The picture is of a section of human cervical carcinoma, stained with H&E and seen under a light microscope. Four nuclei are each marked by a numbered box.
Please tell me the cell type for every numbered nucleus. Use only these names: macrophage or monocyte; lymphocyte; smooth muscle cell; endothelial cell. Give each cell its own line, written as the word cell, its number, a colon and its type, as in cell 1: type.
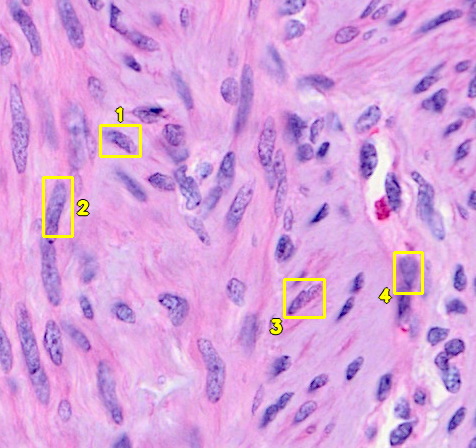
cell 1: smooth muscle cell
cell 2: smooth muscle cell
cell 3: smooth muscle cell
cell 4: endothelial cell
